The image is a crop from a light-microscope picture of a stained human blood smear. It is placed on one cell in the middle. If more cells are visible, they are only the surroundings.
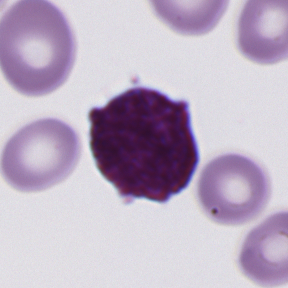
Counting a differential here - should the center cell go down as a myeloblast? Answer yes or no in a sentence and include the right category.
Yes, the central cell of this crop corresponds to a myeloblast.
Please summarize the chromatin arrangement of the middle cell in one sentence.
If you check the nucleus, you will find the chromatin coarsely clumped.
